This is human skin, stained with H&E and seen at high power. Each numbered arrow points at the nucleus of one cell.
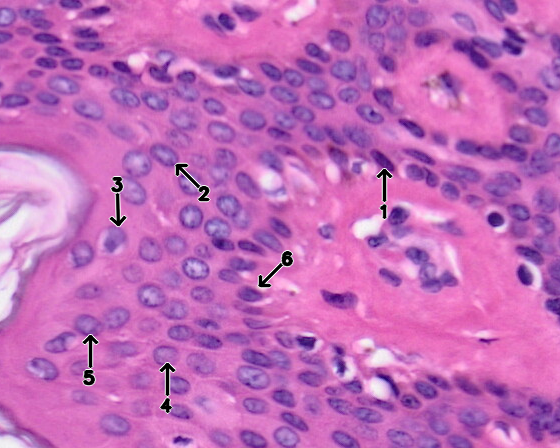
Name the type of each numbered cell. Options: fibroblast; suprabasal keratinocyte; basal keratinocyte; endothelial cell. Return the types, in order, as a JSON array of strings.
["basal keratinocyte", "suprabasal keratinocyte", "suprabasal keratinocyte", "suprabasal keratinocyte", "suprabasal keratinocyte", "basal keratinocyte"]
